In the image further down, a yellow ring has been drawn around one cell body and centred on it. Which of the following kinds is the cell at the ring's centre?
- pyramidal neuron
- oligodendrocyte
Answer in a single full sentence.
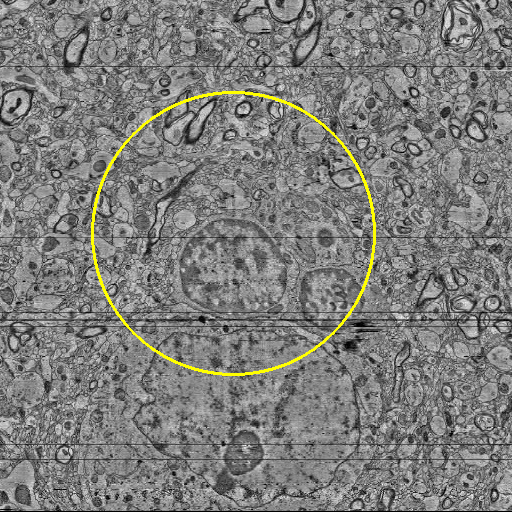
In the picture, the cell sitting at the centre of the yellow ring is an oligodendrocyte.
